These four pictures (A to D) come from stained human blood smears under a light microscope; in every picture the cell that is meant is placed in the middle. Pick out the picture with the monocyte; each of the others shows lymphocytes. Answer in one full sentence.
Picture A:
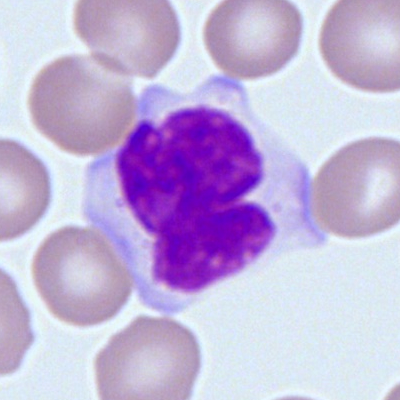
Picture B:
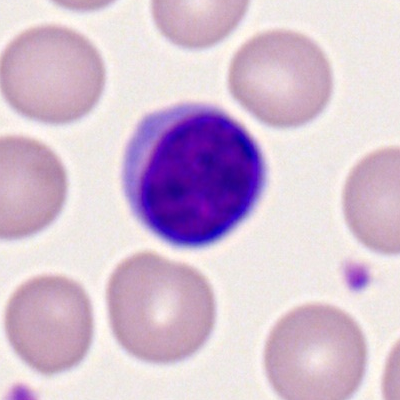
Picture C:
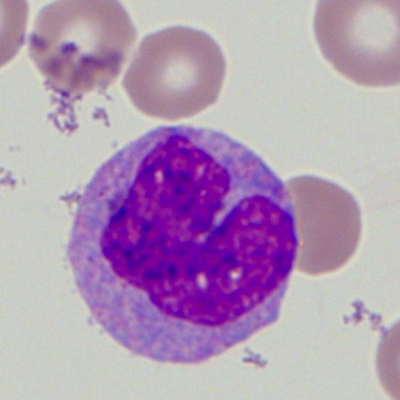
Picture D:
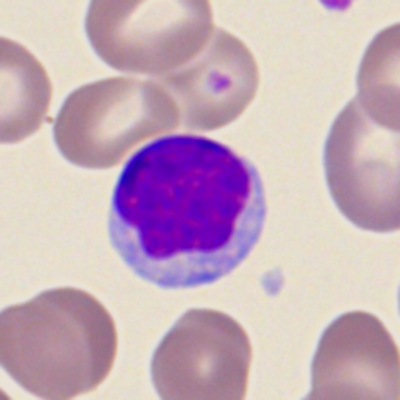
The monocyte is the one in picture C.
